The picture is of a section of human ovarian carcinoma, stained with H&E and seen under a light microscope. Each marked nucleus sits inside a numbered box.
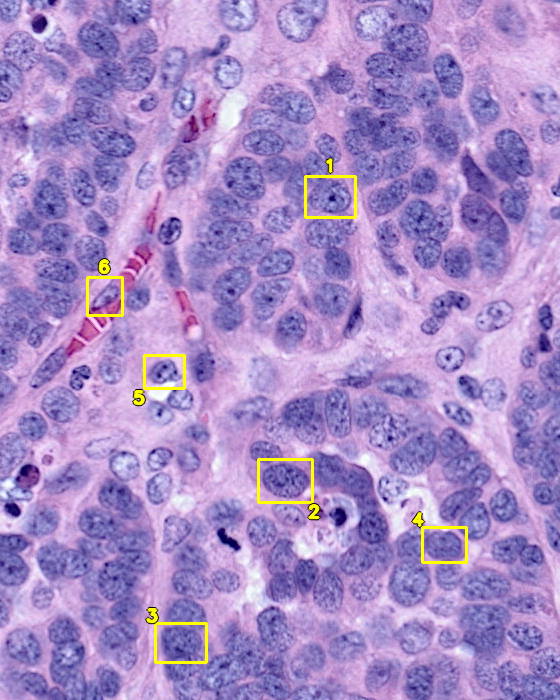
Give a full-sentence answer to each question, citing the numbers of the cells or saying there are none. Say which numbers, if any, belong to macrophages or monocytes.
Cell 5, and no other numbered cell, is a macrophage or monocyte.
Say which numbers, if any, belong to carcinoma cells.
In terms of cell type, cells 1, 2, 3 and 4 are carcinoma cells.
